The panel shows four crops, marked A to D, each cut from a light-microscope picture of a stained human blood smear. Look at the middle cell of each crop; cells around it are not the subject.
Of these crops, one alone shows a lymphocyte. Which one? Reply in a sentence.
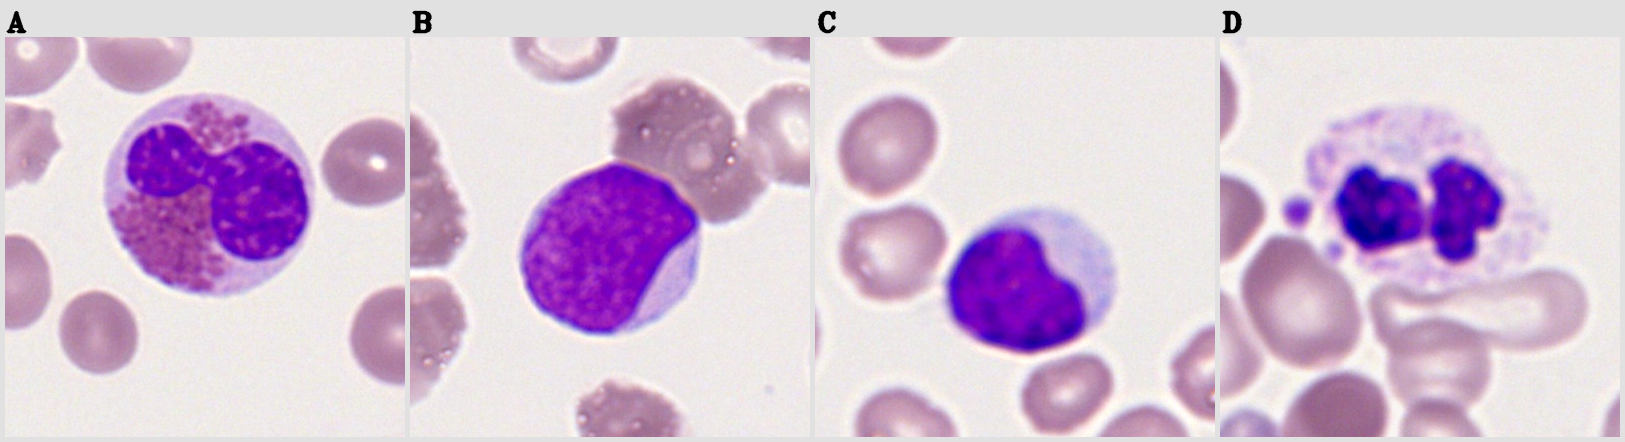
The crop marked C is the one in which a lymphocyte is shown.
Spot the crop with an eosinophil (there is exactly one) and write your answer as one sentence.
In this set, crop A is the one showing an eosinophil.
